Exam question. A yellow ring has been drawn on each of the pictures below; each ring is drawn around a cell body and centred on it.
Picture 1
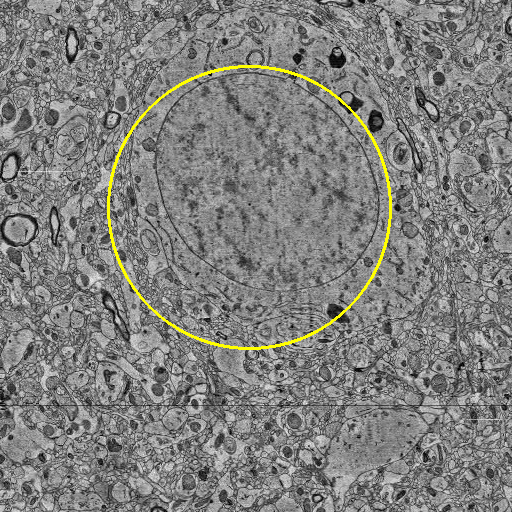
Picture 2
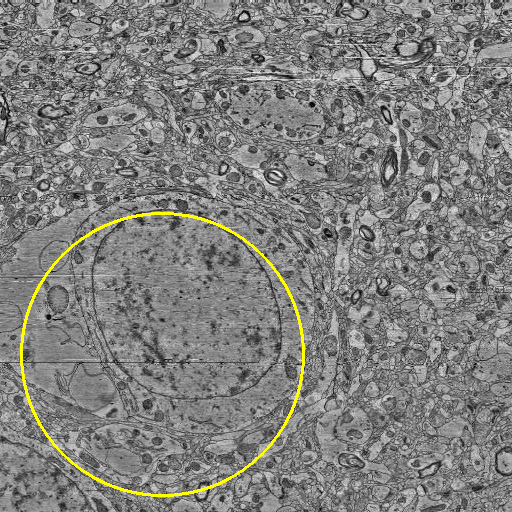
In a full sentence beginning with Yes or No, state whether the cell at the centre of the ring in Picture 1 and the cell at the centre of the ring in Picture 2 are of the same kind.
Yes, the two cells are of the same kind.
